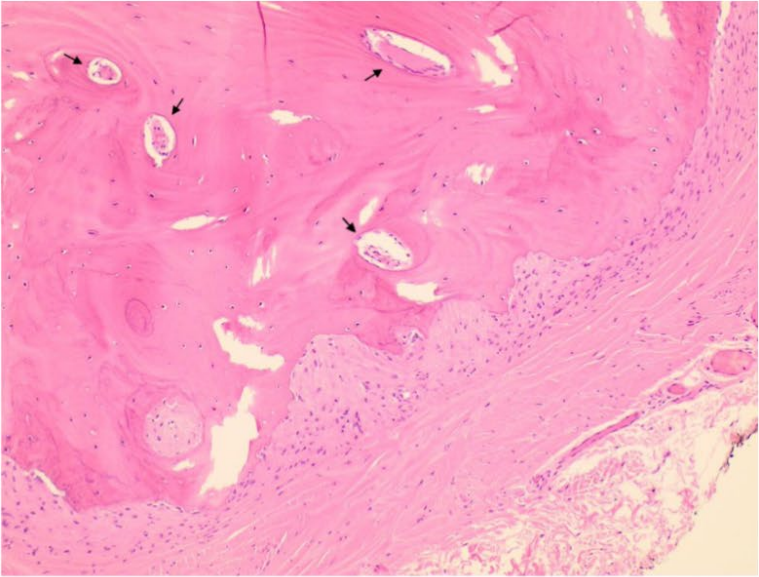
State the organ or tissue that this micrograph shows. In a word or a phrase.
Mature bone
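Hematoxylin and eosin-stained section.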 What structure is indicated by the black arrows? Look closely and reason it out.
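Central canal of fibrovascular tissue. Each arrow points to a small oval channel within the pink bone matrix. The channels contain loose tissue with a few cells. Lamellae and small cells in lacunae are arranged in rings around some channels.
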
